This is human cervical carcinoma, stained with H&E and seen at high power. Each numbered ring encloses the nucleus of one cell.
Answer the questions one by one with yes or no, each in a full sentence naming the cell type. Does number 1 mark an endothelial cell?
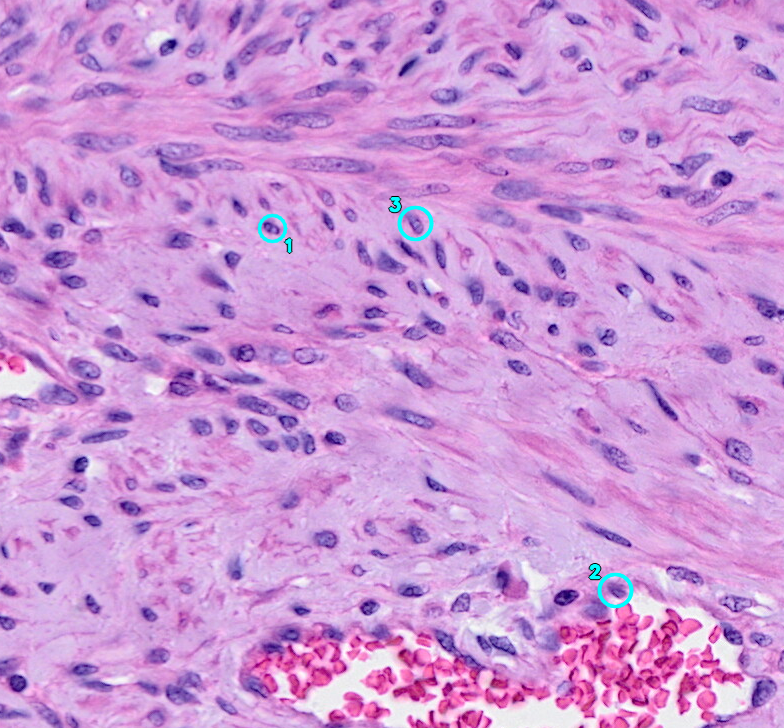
No, the cell labelled 1 is a smooth muscle cell and not an endothelial cell.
